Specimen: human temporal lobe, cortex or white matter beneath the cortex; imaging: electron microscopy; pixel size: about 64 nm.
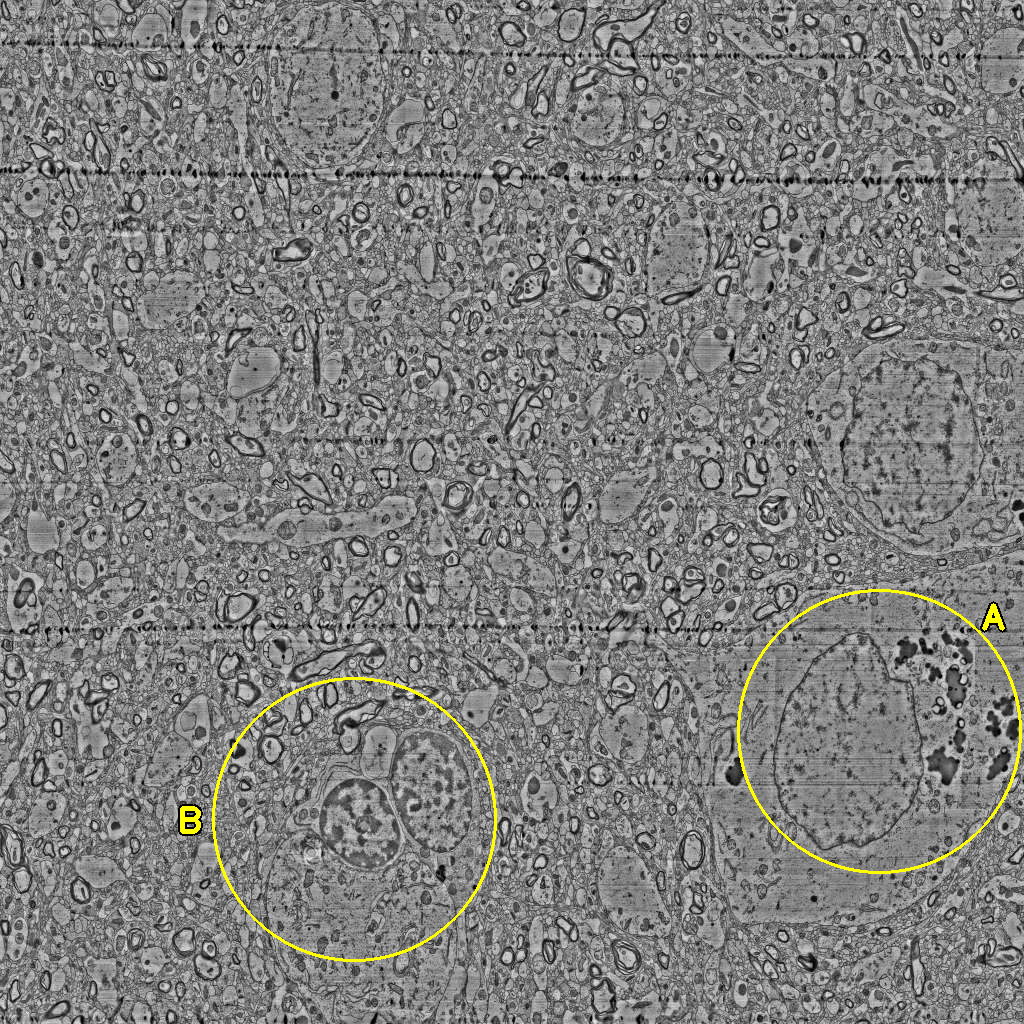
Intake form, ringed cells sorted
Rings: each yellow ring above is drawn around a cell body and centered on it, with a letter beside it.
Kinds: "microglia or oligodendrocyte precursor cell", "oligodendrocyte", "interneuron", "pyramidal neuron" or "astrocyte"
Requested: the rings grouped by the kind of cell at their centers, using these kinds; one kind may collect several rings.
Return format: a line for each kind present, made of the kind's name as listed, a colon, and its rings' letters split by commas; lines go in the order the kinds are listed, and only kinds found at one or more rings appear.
microglia or oligodendrocyte precursor cell: B
pyramidal neuron: A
